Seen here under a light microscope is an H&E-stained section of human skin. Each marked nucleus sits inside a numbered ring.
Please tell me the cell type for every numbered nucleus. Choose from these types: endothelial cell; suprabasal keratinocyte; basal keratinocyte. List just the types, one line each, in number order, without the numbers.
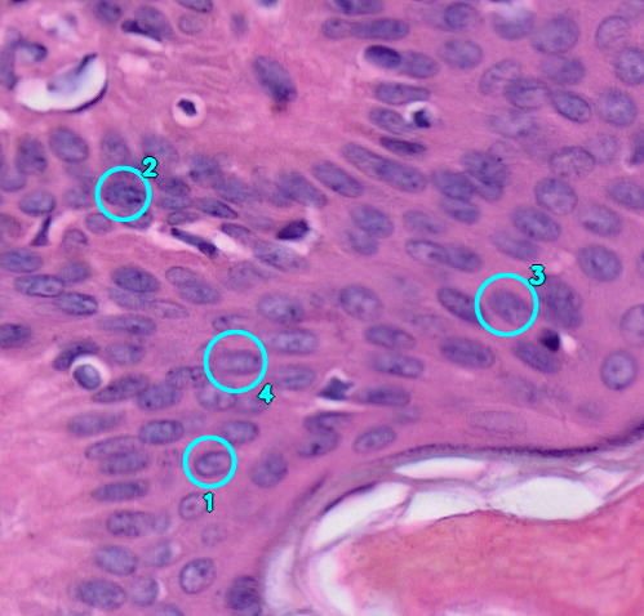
suprabasal keratinocyte
basal keratinocyte
suprabasal keratinocyte
suprabasal keratinocyte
